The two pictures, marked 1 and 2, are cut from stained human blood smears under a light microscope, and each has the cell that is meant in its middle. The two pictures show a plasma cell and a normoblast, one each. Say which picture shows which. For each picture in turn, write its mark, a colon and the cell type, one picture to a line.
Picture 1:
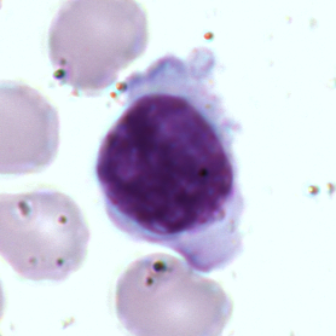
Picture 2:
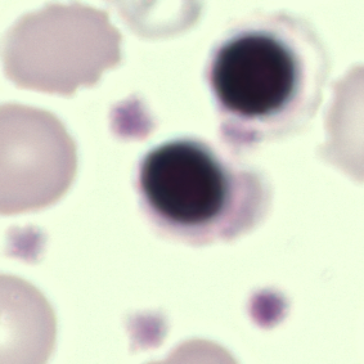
1: plasma cell
2: normoblast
